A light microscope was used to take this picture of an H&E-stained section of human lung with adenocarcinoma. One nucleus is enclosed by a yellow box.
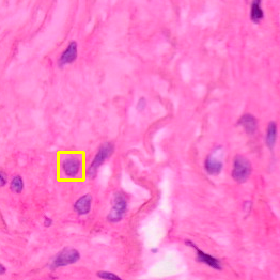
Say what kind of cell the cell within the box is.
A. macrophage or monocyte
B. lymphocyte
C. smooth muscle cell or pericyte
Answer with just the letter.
C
